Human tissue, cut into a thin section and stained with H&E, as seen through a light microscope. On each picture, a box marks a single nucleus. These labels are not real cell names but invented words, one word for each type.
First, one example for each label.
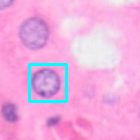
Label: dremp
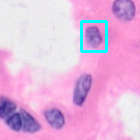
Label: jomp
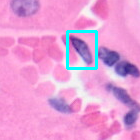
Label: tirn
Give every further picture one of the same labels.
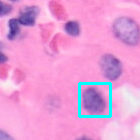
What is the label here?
jomp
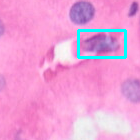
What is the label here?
tirn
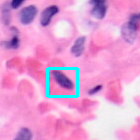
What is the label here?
tirn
